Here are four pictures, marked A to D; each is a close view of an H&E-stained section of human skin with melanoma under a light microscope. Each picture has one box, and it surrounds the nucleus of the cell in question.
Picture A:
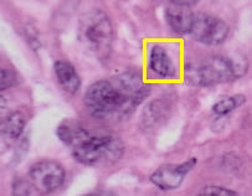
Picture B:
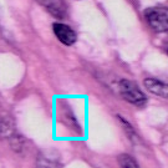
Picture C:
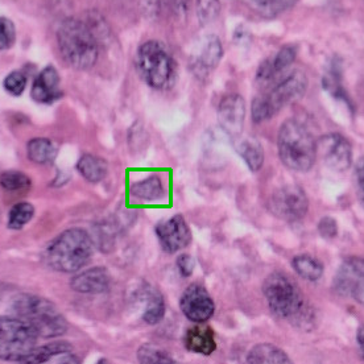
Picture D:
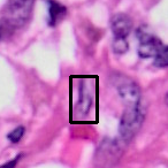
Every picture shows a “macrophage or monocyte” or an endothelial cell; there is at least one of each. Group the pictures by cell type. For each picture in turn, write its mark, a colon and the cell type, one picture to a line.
A: macrophage or monocyte
B: endothelial cell
C: macrophage or monocyte
D: endothelial cell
